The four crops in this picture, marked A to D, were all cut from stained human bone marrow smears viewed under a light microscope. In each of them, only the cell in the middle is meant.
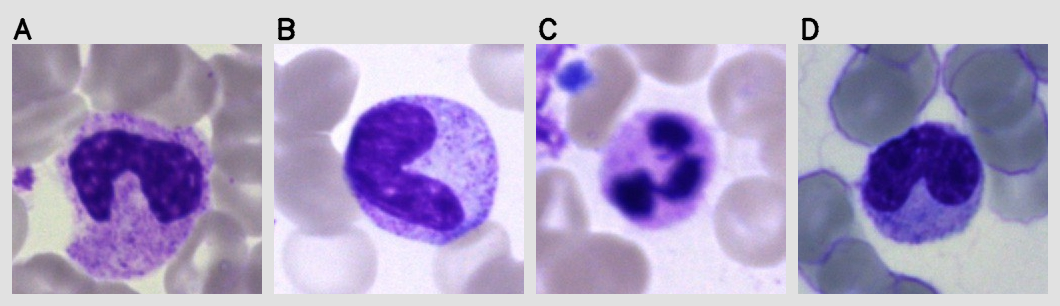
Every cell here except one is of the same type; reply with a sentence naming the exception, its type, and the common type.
Among these crops, band neutrophils occur in all but crop C, which contains a segmented neutrophil.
